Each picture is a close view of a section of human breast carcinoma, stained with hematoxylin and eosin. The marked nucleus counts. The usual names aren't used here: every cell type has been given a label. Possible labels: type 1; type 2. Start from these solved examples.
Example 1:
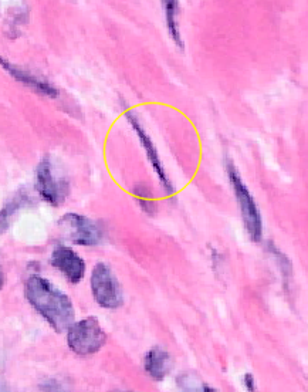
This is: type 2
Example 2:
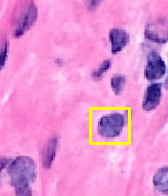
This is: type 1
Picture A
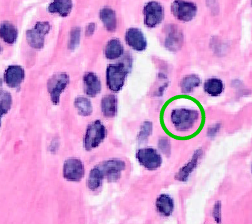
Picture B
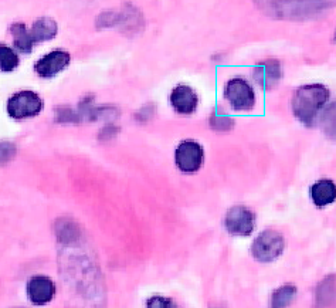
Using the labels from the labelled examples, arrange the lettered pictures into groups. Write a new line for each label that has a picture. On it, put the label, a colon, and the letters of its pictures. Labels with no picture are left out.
type 1: A, B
